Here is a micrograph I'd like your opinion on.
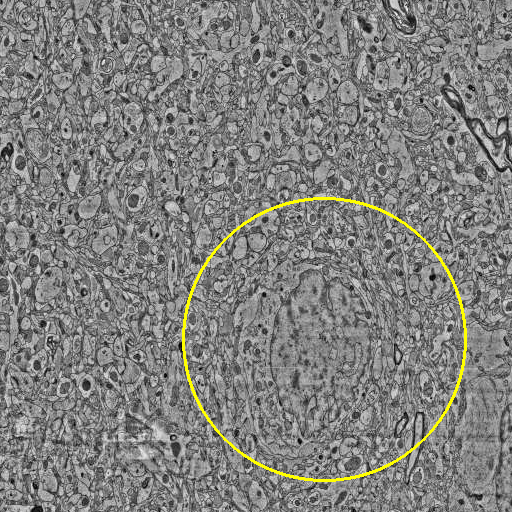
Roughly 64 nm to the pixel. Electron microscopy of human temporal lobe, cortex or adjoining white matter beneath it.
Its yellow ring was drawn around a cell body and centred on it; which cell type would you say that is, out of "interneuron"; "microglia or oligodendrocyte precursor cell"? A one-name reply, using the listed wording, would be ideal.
interneuron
